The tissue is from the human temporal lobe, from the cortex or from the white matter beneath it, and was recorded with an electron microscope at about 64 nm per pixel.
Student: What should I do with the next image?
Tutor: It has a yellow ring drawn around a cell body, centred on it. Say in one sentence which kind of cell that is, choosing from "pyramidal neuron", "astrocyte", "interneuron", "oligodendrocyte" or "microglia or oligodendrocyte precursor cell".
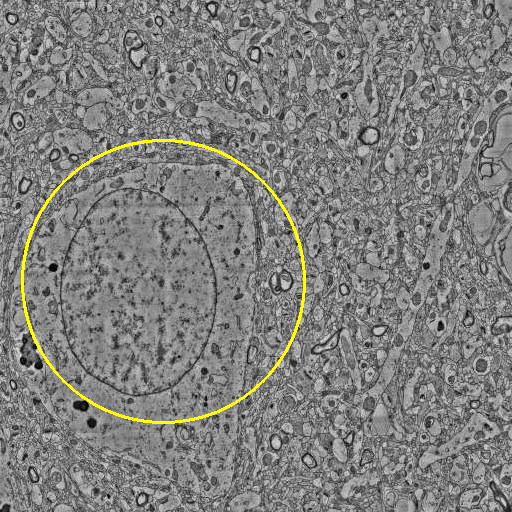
The ring's centre is occupied by a pyramidal neuron.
